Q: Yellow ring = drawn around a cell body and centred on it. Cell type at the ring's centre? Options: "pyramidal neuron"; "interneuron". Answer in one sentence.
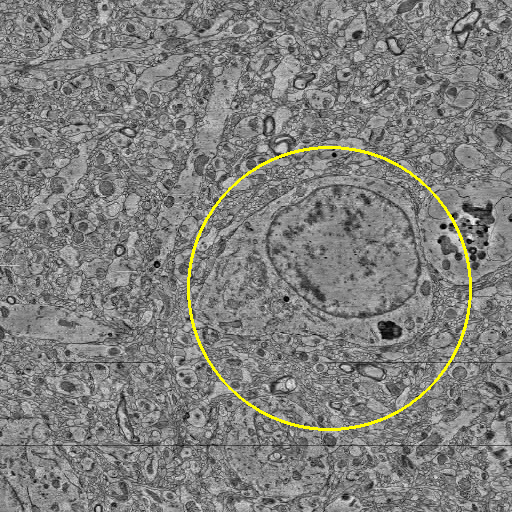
Centred in the ring is a pyramidal neuron.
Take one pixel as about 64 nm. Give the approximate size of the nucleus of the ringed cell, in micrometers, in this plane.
In this plane, roughly 10 by 9 micrometres.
